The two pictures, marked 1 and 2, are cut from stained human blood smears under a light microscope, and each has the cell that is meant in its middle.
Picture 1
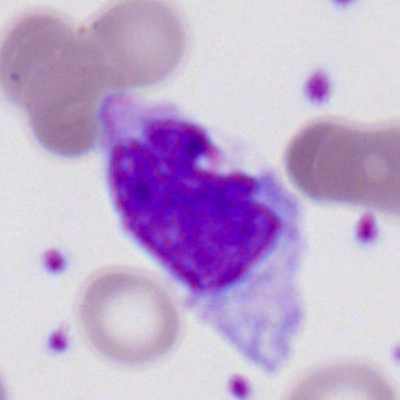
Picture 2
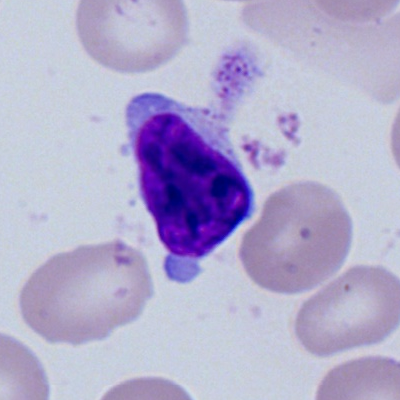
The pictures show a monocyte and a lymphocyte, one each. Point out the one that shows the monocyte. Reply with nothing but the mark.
1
